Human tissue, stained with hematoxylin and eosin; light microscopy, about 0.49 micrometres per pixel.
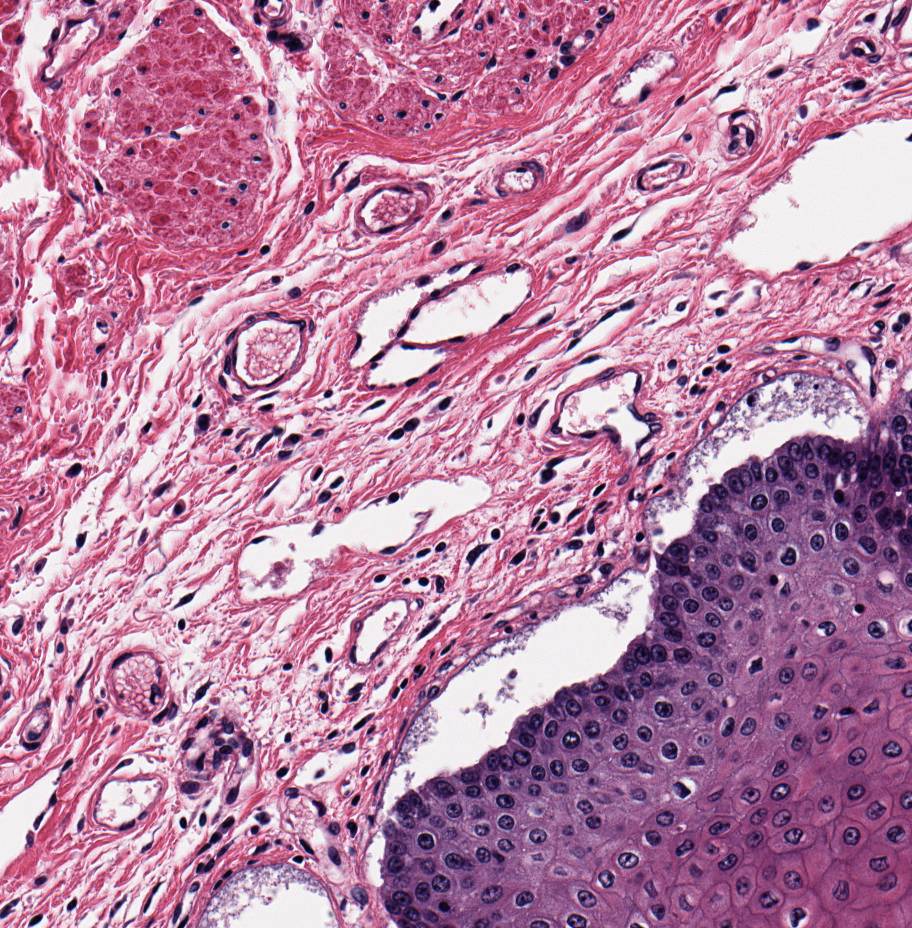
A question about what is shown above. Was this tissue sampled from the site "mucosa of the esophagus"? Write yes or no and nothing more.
yes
